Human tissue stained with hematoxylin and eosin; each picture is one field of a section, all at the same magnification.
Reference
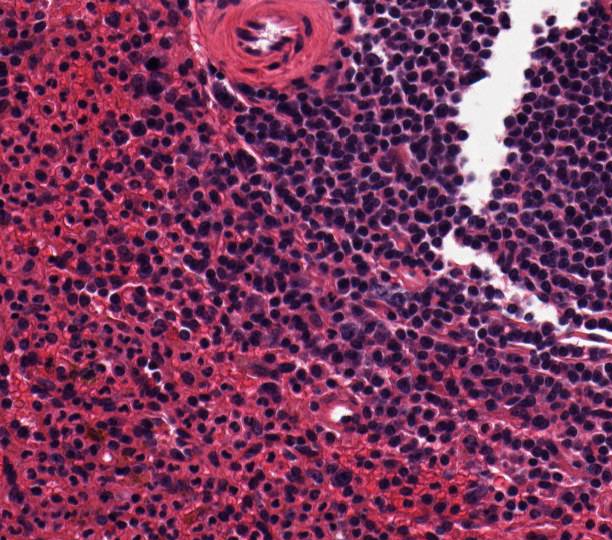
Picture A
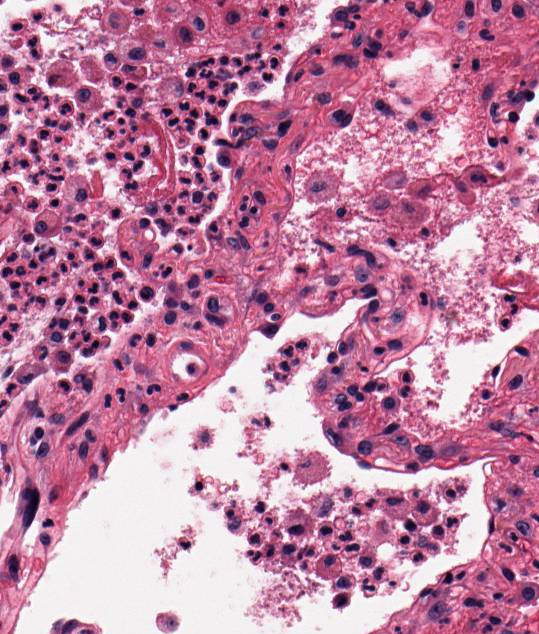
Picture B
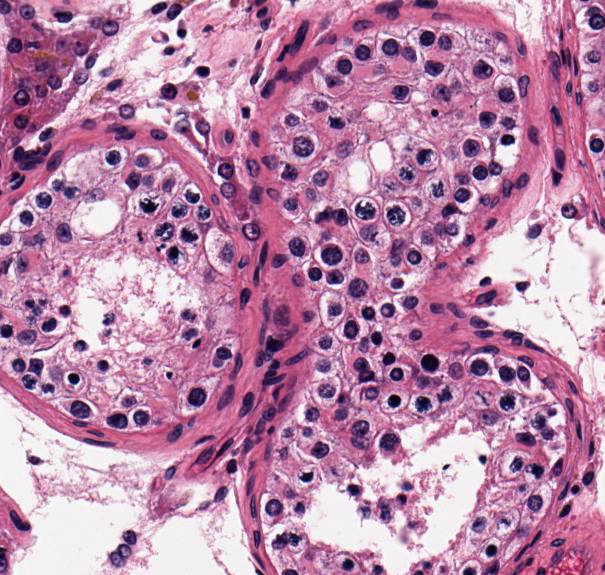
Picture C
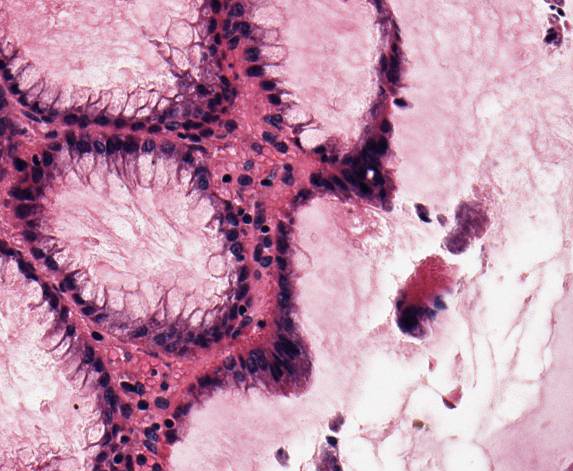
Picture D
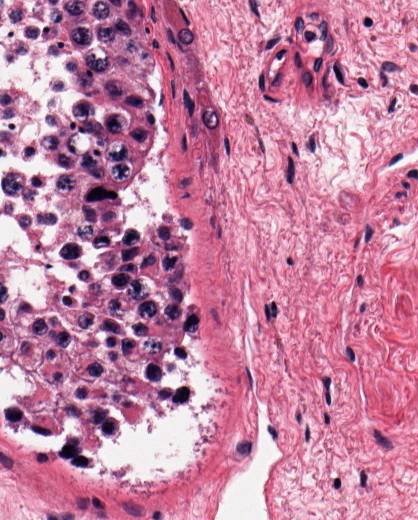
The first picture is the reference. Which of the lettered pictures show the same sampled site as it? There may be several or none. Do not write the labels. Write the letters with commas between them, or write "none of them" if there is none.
none of them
